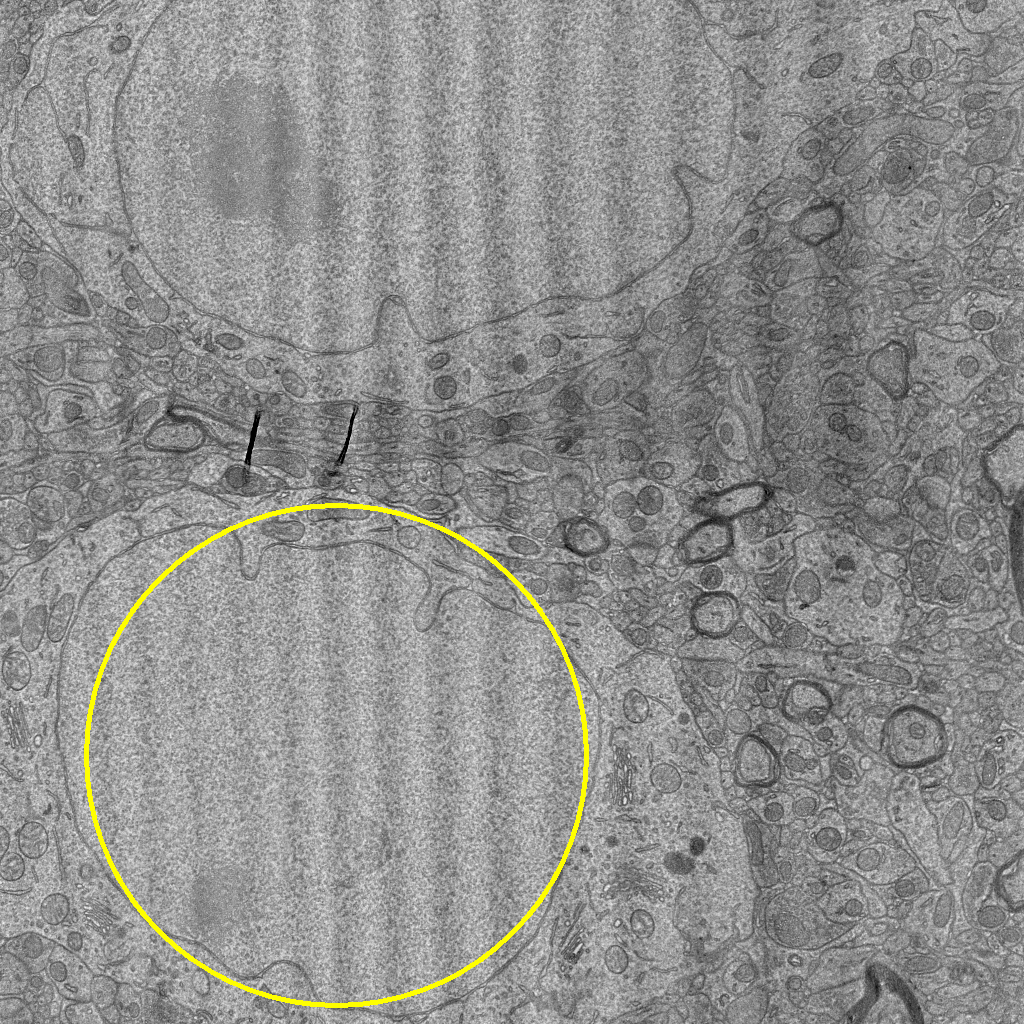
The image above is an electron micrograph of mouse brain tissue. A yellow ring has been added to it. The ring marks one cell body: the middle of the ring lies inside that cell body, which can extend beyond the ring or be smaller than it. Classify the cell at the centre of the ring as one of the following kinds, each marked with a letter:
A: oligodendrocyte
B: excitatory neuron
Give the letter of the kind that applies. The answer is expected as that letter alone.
B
